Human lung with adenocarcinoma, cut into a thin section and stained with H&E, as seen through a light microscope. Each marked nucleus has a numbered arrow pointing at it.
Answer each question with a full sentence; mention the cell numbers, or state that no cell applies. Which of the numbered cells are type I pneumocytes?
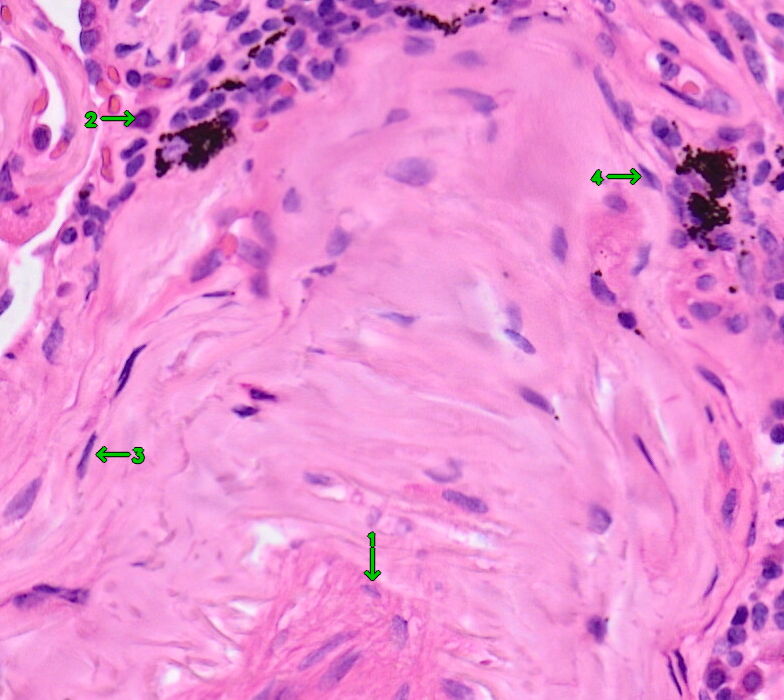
The numbered cells are, without exception, not type I pneumocytes.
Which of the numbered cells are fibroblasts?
On this slide, the cells numbered 3 and 4 are fibroblasts.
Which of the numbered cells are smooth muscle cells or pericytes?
Cell 1 is a smooth muscle cell or pericyte, and it is the only one.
